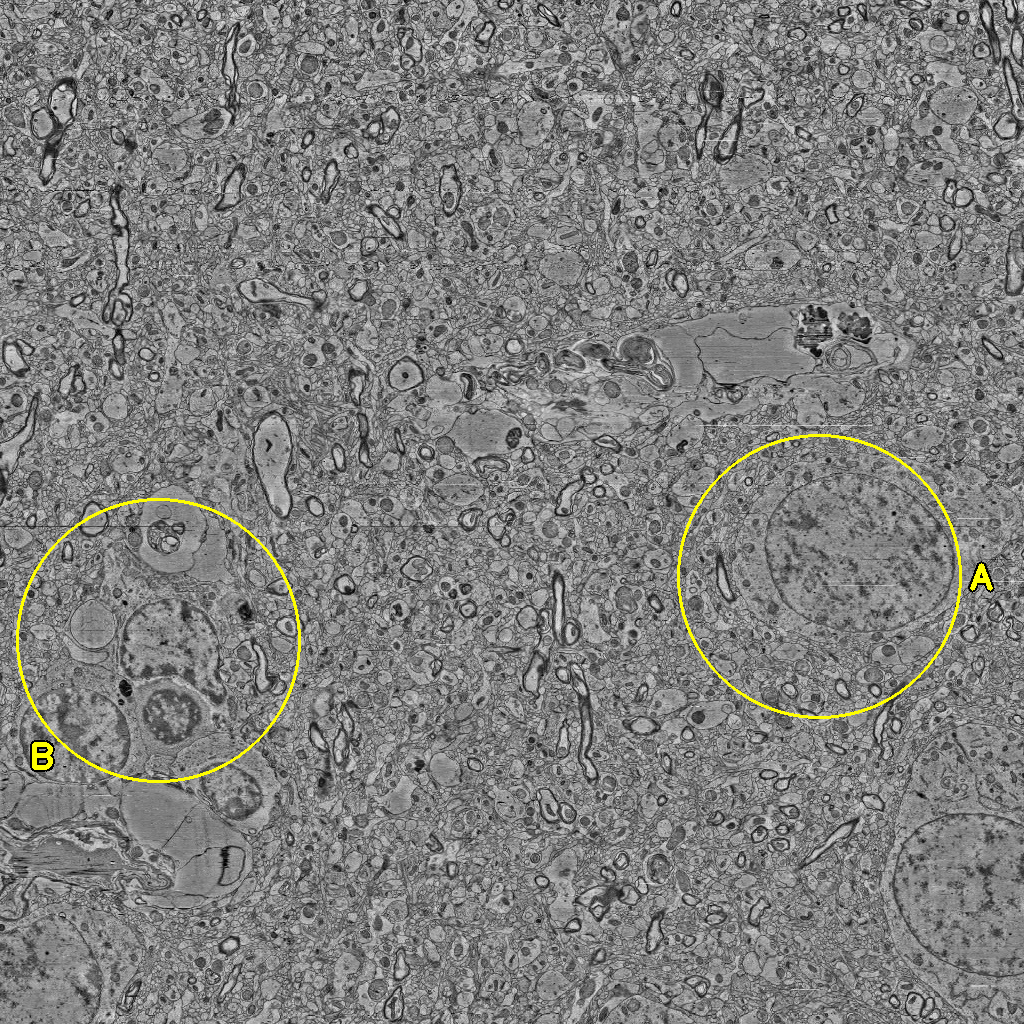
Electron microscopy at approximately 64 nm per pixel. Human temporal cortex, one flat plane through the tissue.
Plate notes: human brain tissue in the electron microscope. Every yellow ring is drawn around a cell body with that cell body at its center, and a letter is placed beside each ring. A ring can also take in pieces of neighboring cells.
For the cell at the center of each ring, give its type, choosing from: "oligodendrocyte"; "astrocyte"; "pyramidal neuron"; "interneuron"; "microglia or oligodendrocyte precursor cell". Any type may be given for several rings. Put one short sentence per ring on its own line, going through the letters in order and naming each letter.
Ring A shows an interneuron at the center.
Ring B shows a microglial cell or oligodendrocyte precursor cell at the center.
